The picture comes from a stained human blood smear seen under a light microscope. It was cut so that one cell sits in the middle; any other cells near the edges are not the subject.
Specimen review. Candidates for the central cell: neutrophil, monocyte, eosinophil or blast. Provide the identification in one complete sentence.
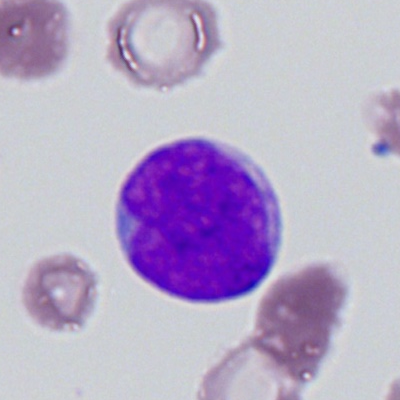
The crop centres on a single cell, and that cell is a blast.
